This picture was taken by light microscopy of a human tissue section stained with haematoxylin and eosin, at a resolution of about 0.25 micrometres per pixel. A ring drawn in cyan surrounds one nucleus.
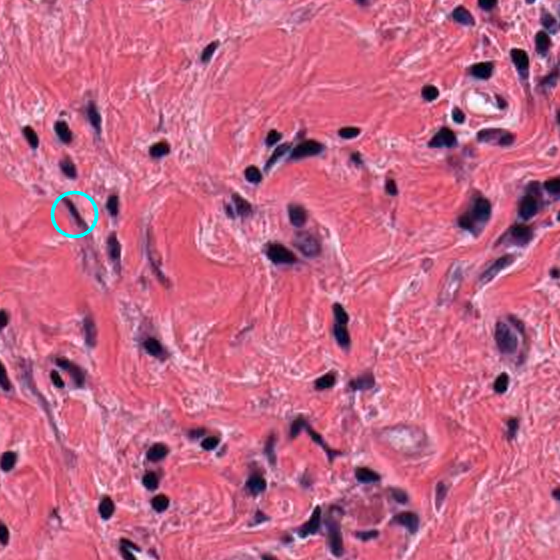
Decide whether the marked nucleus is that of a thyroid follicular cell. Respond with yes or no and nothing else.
no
